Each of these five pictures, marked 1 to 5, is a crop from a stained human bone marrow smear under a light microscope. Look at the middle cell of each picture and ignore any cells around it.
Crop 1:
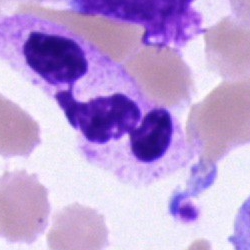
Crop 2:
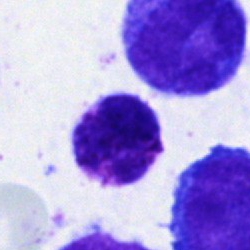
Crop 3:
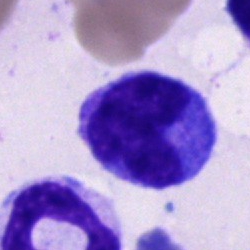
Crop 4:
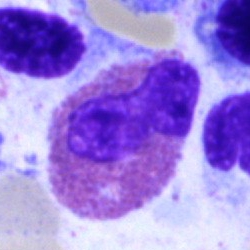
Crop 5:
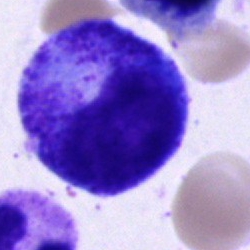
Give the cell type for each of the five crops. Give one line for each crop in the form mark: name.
1: segmented neutrophil
2: basophil
3: monocyte
4: eosinophil
5: promyelocyte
